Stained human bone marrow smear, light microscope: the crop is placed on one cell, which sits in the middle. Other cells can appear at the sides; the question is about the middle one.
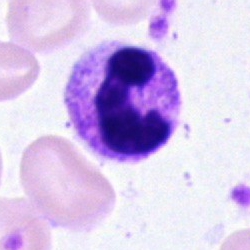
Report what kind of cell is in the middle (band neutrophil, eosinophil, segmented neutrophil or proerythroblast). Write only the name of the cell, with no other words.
segmented neutrophil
